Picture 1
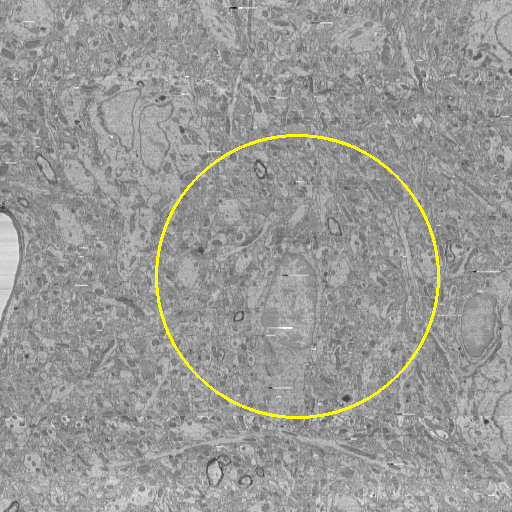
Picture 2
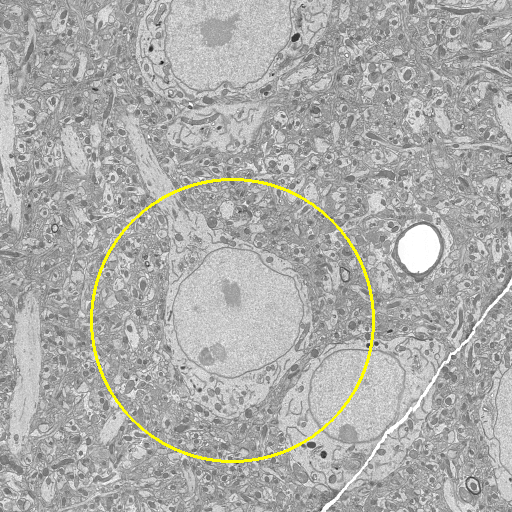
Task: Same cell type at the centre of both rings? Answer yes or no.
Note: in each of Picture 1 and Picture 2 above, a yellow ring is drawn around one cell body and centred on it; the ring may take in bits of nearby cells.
no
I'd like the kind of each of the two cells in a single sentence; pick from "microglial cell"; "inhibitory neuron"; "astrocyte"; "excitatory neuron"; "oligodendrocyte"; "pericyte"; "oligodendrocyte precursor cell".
The first ring marks an oligodendrocyte, and the second ring marks an excitatory neuron.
